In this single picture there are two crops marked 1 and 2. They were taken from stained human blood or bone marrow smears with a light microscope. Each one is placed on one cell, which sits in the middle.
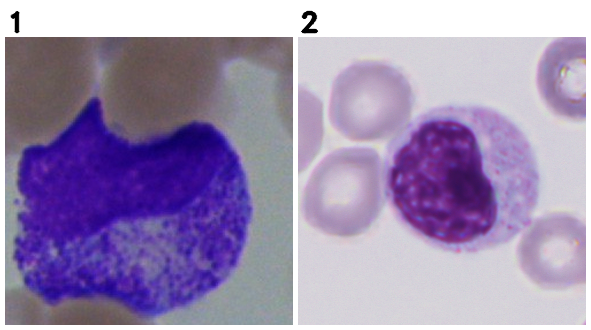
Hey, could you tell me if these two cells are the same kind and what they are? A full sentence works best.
Yes, for both crops, the central cells are metamyelocytes.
